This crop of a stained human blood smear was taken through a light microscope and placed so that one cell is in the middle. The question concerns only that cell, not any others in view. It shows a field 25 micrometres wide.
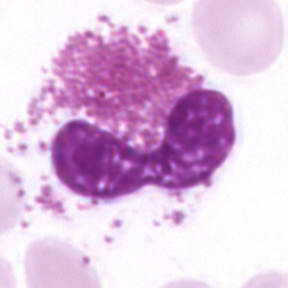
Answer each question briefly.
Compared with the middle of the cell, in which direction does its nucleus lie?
lower right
